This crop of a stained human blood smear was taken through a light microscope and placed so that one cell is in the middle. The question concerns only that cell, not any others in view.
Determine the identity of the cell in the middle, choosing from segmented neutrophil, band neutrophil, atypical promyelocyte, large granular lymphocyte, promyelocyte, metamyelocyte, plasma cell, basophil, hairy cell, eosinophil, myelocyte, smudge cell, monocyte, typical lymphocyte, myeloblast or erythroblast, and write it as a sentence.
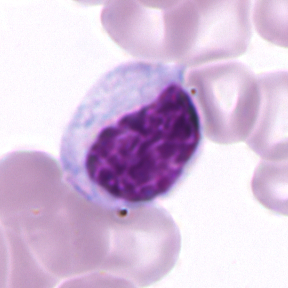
This crop is built around a metamyelocyte at its centre.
